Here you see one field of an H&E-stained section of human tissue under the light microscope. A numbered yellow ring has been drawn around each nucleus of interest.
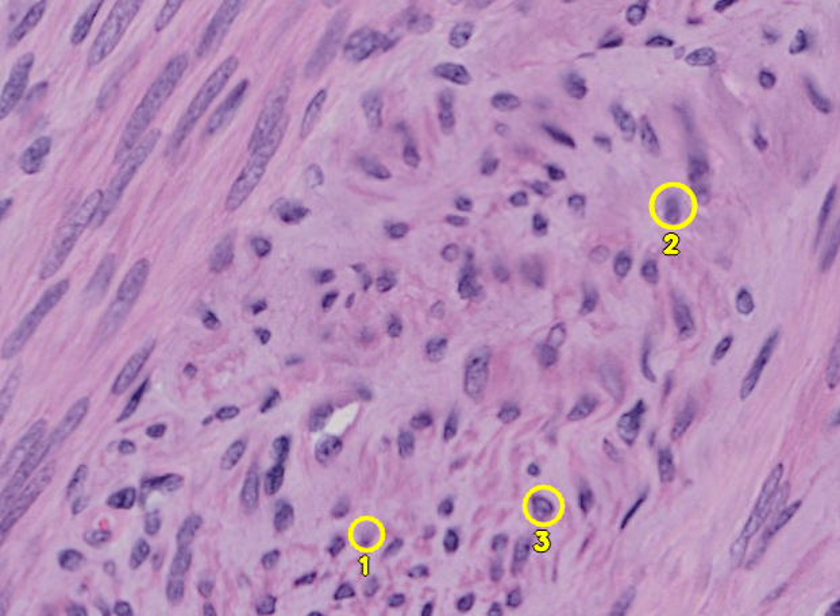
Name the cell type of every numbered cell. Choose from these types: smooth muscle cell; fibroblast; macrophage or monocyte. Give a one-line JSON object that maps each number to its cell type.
{"1": "smooth muscle cell", "2": "fibroblast", "3": "smooth muscle cell"}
